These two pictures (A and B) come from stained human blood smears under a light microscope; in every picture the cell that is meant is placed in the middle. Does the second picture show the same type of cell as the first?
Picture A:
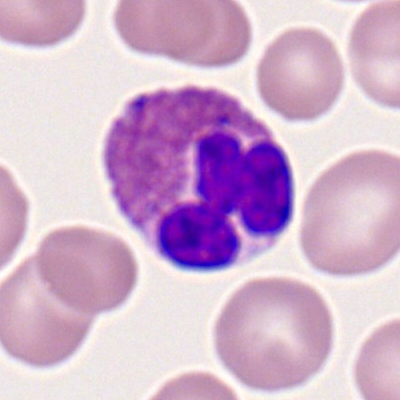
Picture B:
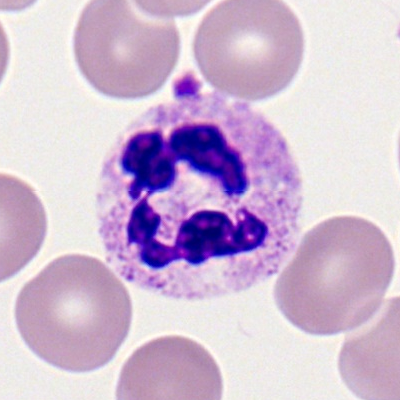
no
